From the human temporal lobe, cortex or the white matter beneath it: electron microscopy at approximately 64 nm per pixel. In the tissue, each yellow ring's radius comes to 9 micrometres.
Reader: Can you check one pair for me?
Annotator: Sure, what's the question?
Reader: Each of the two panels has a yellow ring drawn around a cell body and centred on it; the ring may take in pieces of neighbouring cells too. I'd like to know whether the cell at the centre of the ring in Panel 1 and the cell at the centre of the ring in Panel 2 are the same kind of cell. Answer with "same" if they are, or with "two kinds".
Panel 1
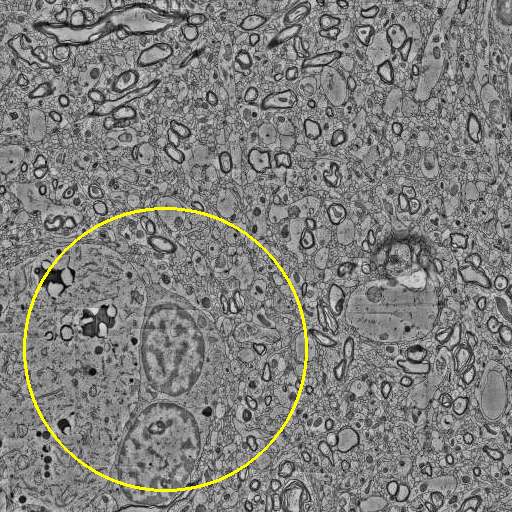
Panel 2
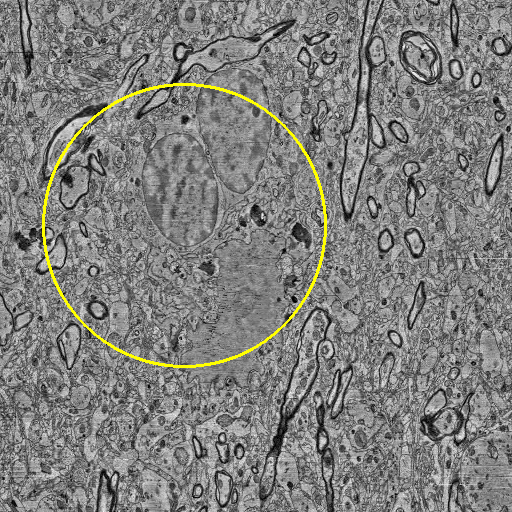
same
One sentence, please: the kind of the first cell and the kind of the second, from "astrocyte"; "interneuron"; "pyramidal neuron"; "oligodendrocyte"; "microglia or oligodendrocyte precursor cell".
Each of the ringed cells, first and second, is an oligodendrocyte.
